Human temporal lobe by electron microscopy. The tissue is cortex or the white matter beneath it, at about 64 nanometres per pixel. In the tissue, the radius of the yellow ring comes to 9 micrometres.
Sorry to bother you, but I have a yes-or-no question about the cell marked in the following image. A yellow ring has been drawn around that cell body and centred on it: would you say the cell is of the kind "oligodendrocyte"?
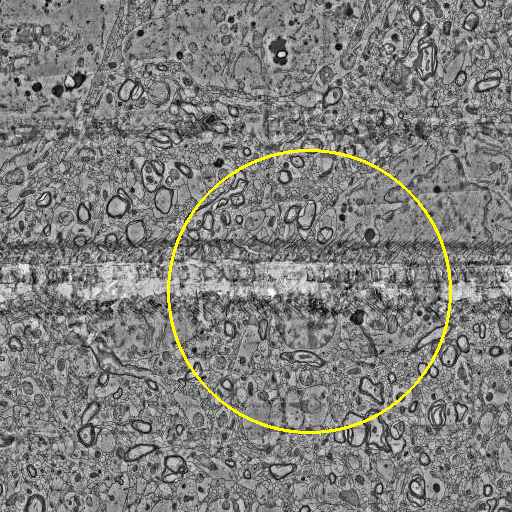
yes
